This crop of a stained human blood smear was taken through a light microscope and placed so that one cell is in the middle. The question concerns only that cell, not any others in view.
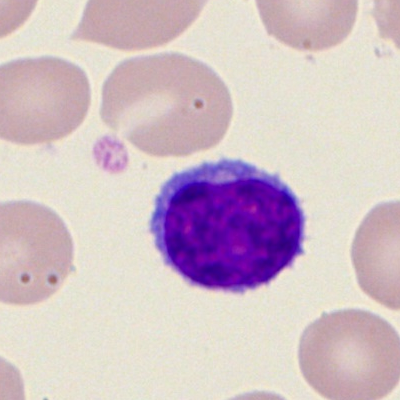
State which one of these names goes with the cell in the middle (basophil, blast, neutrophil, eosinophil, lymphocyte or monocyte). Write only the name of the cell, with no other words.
lymphocyte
